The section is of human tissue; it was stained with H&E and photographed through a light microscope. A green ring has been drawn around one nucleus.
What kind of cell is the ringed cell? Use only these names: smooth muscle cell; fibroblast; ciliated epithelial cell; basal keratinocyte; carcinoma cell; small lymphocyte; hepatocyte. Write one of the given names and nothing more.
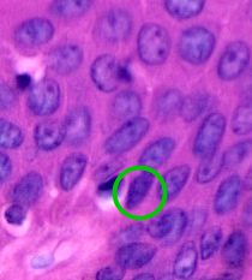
basal keratinocyte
